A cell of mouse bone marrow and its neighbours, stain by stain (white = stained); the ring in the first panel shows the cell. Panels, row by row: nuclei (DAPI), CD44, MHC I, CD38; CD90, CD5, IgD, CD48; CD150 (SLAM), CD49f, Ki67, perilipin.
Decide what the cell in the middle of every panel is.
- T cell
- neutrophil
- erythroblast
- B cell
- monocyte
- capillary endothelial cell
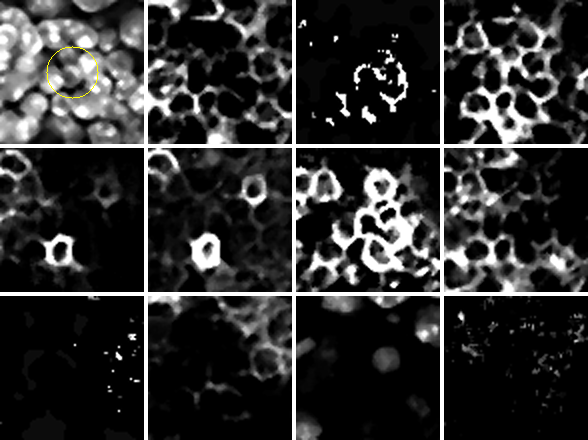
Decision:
B cell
